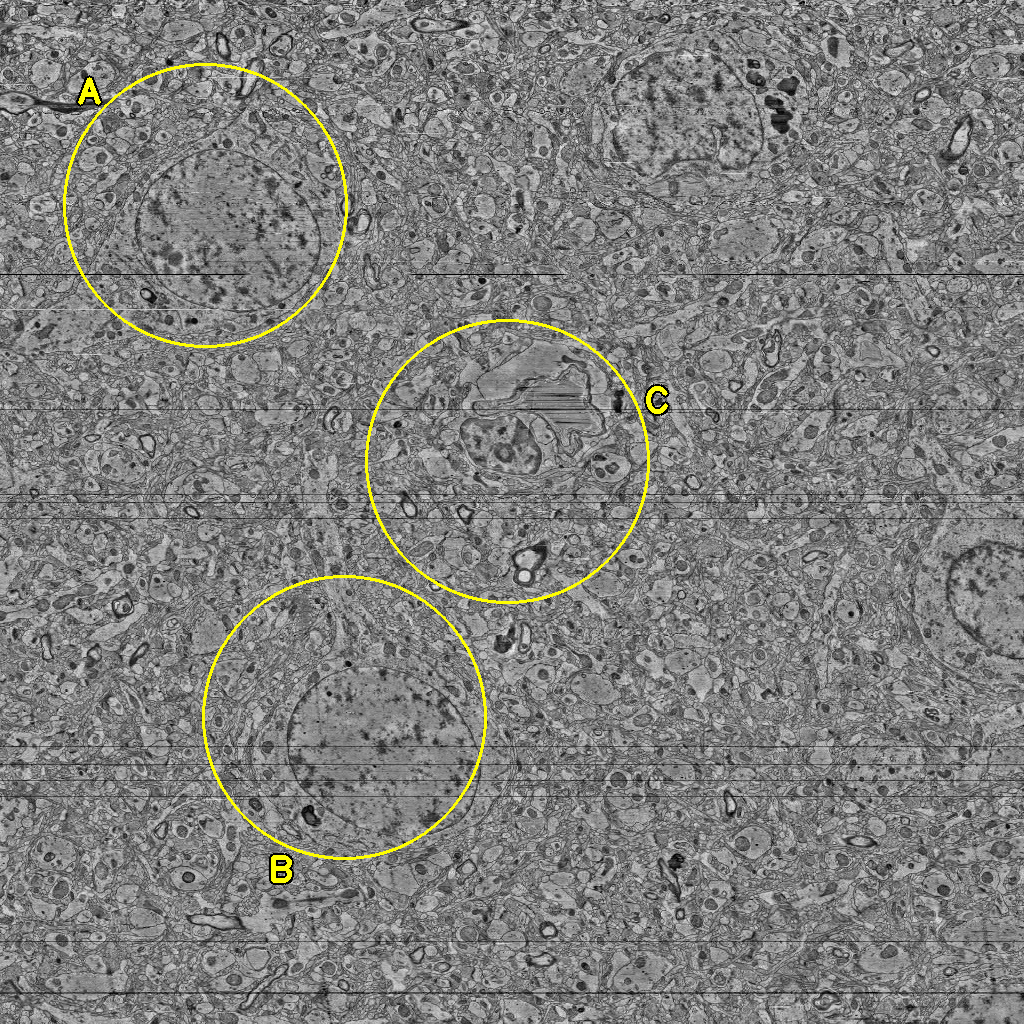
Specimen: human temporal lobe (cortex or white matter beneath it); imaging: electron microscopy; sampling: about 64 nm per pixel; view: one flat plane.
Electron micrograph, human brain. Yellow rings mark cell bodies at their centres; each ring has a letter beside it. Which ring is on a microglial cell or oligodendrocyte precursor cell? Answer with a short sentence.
Ring C is centred on it.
